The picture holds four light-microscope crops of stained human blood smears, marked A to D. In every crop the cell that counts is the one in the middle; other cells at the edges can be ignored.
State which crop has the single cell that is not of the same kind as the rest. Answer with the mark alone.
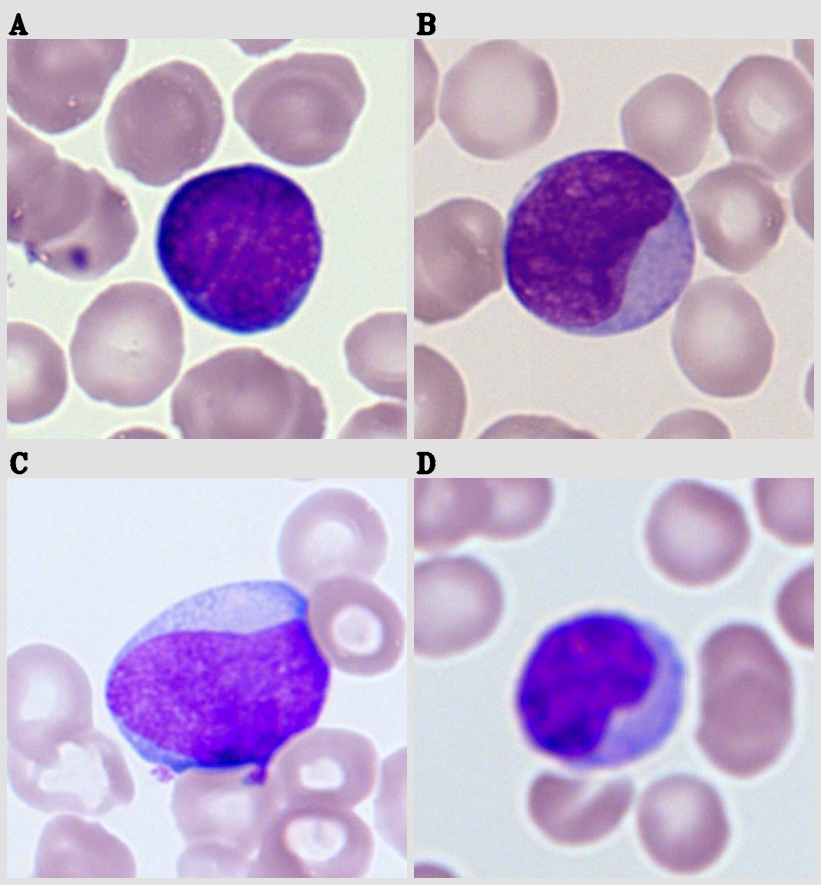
D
